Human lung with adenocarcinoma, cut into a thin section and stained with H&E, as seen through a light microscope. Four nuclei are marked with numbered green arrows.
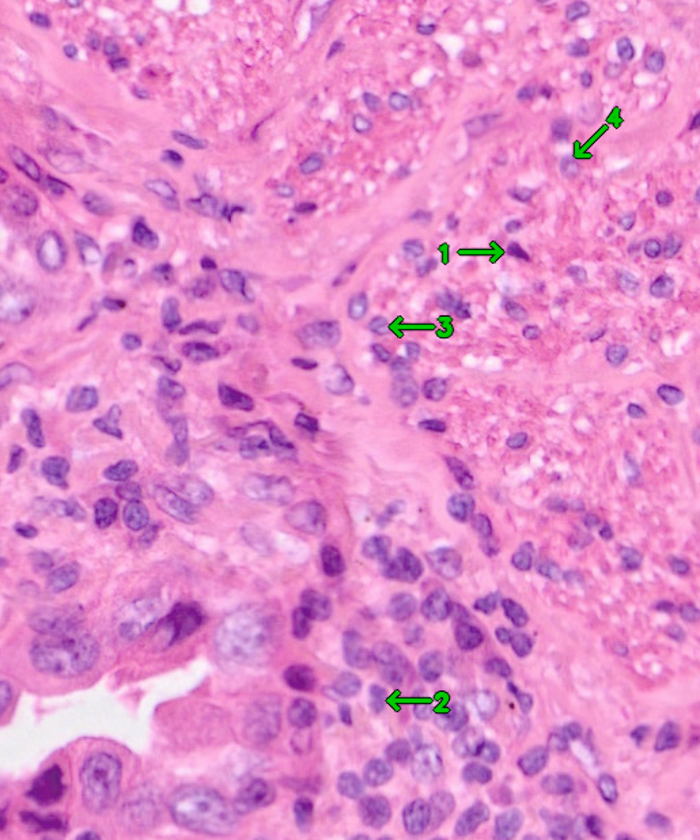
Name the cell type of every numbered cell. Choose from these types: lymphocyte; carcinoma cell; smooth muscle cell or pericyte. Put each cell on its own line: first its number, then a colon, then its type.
1: smooth muscle cell or pericyte
2: lymphocyte
3: smooth muscle cell or pericyte
4: smooth muscle cell or pericyte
